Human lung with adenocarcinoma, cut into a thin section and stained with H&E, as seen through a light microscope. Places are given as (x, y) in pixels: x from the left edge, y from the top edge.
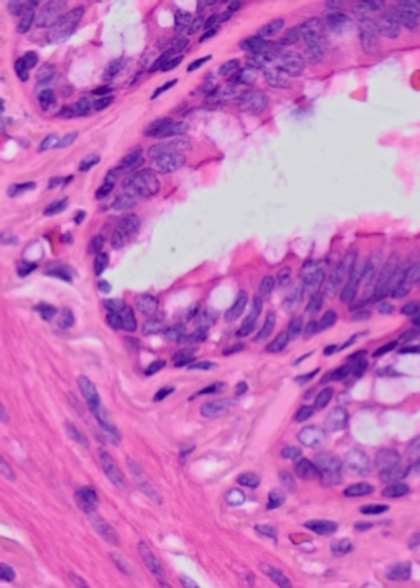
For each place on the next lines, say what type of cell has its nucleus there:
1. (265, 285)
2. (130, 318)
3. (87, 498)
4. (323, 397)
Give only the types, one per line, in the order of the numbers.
ciliated epithelial cell
ciliated epithelial cell
smooth muscle cell or pericyte
ciliated epithelial cell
